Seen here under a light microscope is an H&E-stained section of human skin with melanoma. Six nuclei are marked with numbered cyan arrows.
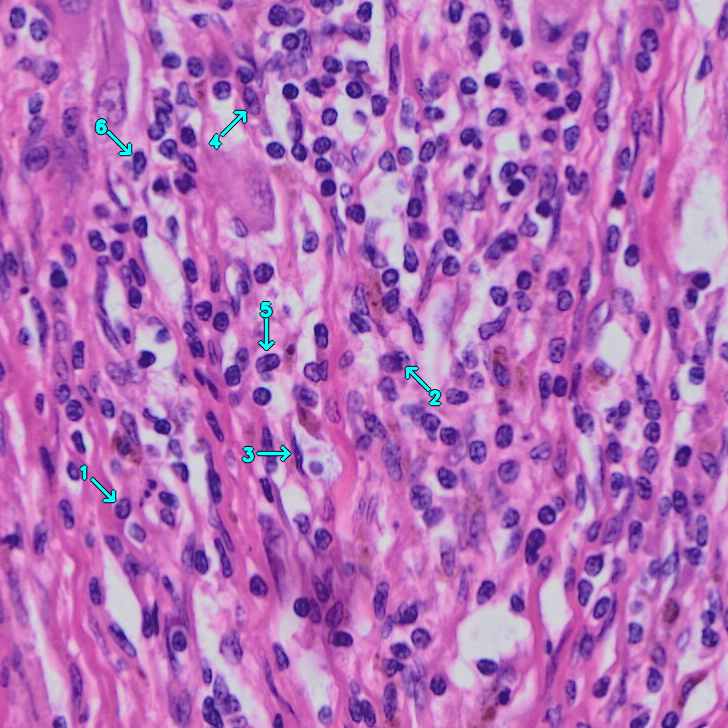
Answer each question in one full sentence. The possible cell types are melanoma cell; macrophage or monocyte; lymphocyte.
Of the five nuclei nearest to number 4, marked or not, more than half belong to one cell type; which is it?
The majority of the five nuclei closest to number 4 belong to lymphocytes.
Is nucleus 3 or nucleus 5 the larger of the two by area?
Nucleus 5 covers more area, about 1.5 times as much as nucleus 3.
